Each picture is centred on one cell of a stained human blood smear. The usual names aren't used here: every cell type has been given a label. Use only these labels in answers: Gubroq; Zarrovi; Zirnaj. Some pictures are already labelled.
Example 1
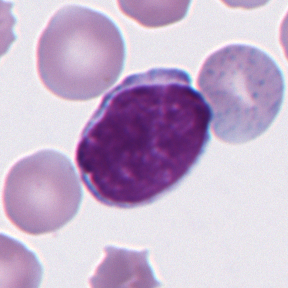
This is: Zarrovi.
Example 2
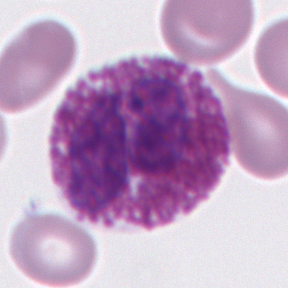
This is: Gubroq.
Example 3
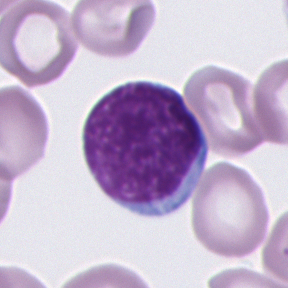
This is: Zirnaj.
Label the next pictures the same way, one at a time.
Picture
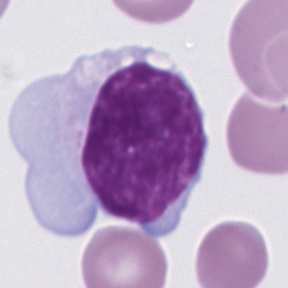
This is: Zirnaj.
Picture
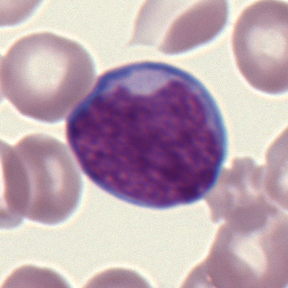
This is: Zirnaj.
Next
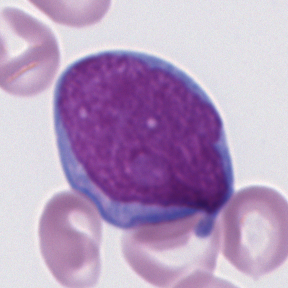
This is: Zirnaj.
